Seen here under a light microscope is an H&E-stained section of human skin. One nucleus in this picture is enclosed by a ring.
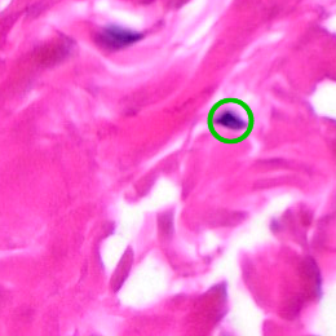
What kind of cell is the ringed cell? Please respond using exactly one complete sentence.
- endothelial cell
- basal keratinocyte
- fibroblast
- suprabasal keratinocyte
At the level of cell identity, the ringed cell is a fibroblast.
